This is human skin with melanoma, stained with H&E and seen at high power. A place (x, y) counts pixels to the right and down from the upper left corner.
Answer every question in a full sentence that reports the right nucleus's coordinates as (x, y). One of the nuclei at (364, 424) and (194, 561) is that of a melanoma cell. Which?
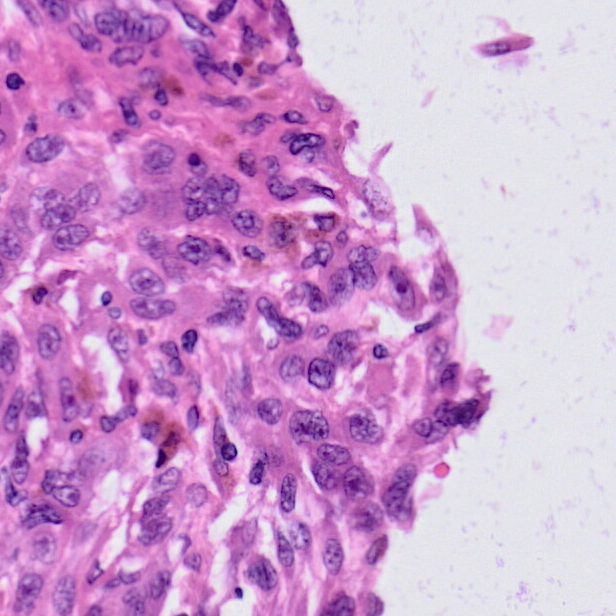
Of the two, the nucleus at (364, 424) is the one contained in a melanoma cell.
